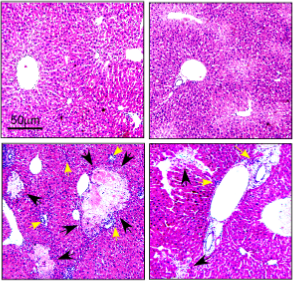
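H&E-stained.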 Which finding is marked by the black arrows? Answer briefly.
Liver necrosis.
